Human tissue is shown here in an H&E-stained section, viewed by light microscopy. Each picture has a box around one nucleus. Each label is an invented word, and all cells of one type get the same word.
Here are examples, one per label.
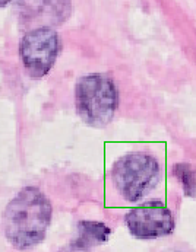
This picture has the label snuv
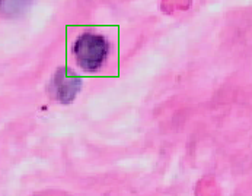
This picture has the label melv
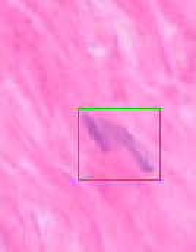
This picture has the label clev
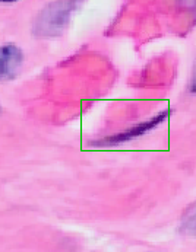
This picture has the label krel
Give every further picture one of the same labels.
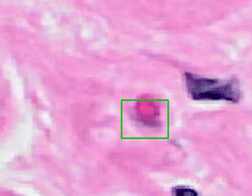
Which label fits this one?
krel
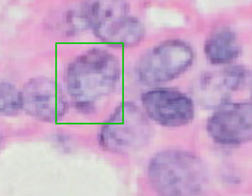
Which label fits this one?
snuv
